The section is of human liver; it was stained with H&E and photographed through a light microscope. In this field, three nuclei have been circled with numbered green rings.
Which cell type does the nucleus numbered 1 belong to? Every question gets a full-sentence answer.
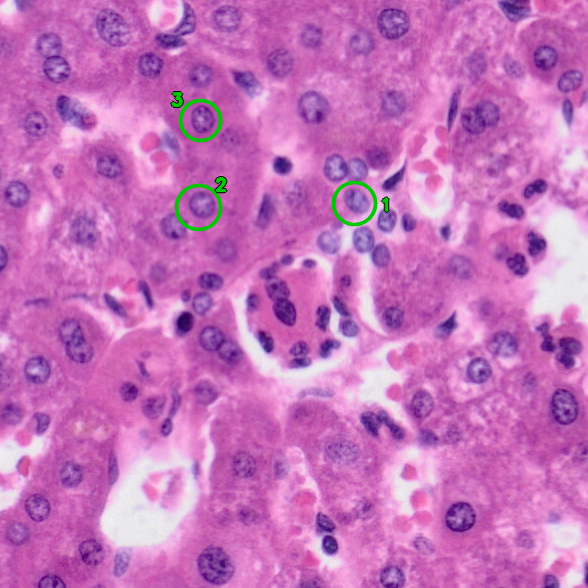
Numbered cell 1 is a cholangiocyte in this tissue section.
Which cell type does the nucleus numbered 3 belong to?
The label 3 in this section denotes a hepatocyte.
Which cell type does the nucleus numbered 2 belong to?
The one labeled 2 is a hepatocyte, to put it simply.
